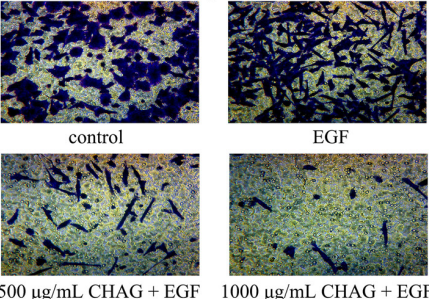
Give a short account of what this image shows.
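These are cells stained dark purple-blue on a pale, yellowish porous membrane, seen in four fields side by side. Many cells are elongated or spindle-shaped with drawn-out ends, while others are more rounded or spread irregularly. In the two upper fields the stained cells are numerous and cover much of the membrane, whereas in the two lower fields they are scattered, leaving large areas of bare membrane with its fine regular pores visible.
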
